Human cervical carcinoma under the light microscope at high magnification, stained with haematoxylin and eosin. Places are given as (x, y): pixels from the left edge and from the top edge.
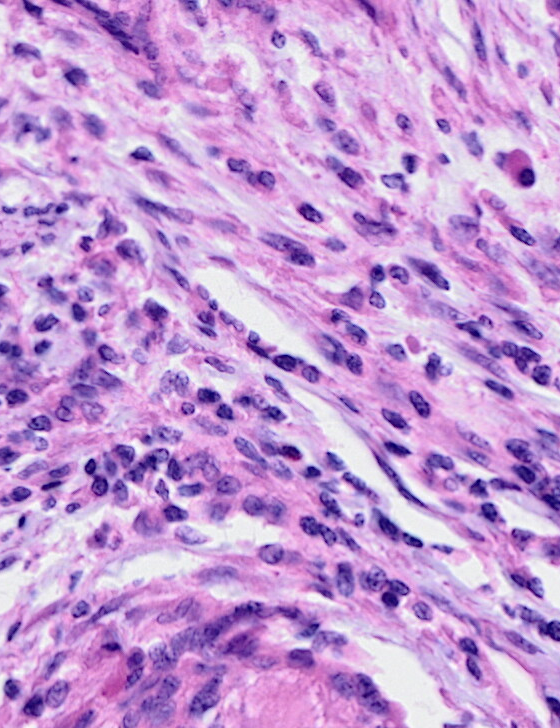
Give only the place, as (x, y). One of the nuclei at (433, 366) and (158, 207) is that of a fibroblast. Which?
(158, 207)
